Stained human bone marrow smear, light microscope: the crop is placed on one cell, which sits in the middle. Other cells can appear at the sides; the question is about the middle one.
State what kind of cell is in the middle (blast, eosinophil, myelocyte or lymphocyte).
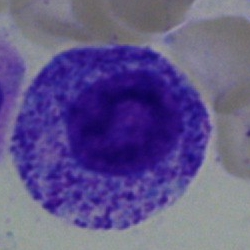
myelocyte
